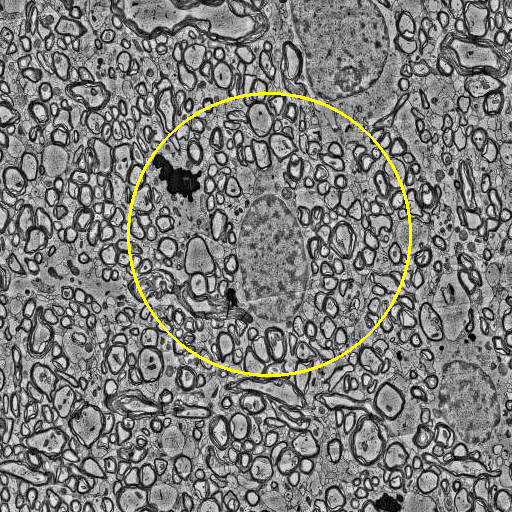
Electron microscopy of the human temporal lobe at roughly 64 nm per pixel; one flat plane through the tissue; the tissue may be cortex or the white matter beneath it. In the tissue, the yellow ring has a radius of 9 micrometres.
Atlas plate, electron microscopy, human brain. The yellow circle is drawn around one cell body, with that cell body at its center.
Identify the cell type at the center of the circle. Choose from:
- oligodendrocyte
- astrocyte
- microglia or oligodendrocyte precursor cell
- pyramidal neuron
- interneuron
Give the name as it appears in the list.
oligodendrocyte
